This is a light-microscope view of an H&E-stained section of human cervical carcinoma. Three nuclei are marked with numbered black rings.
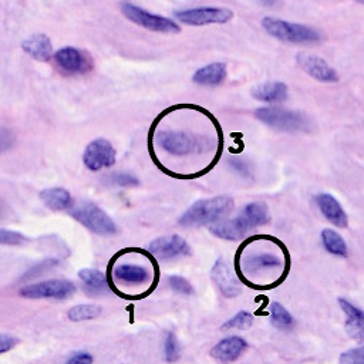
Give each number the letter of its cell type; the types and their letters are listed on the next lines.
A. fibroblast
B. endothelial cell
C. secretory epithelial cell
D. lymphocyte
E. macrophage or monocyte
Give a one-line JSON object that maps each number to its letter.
{"1": "D", "2": "A", "3": "A"}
